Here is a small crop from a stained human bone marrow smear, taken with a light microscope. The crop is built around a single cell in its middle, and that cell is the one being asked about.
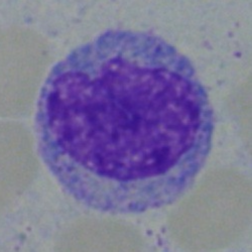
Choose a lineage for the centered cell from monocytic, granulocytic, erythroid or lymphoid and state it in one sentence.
The central cell in this crop is categorized under the monocytic lineage.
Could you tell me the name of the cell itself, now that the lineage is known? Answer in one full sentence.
This crop has a monocyte at its centre.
